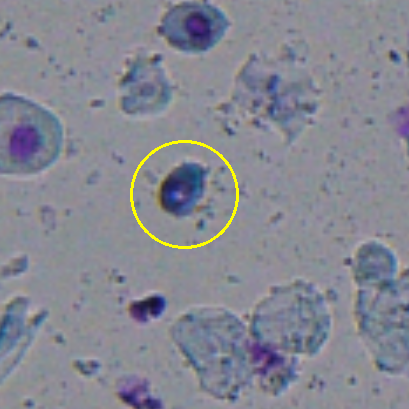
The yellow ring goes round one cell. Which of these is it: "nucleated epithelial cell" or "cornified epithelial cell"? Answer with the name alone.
nucleated epithelial cell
